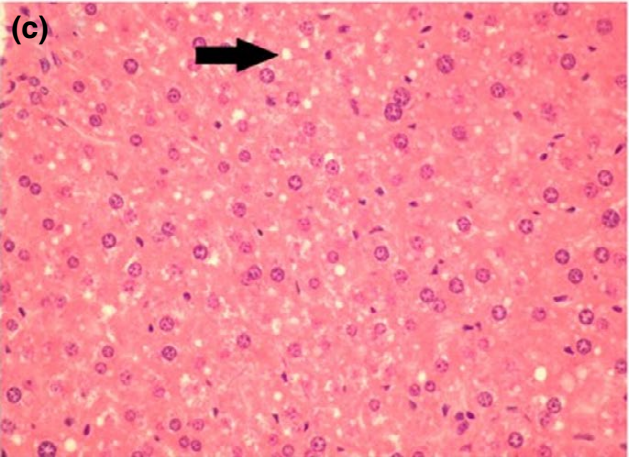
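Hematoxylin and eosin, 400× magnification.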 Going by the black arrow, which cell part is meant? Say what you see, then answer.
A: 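Fat vacuoles. Many small round clear spaces lie within the pink cytoplasm of the cells. The arrow tip meets one such clear round space. The clear spaces vary in size and are scattered across the field.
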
